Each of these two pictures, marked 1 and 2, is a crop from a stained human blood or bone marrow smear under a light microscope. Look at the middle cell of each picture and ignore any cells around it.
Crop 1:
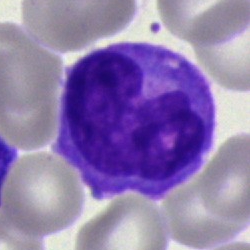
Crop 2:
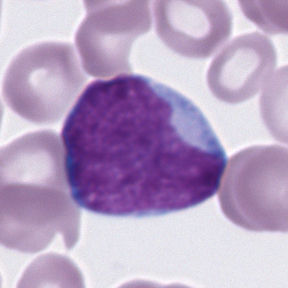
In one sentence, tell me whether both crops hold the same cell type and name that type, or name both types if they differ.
No, crop 1 presents a monocyte, whereas crop 2 presents a blast.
